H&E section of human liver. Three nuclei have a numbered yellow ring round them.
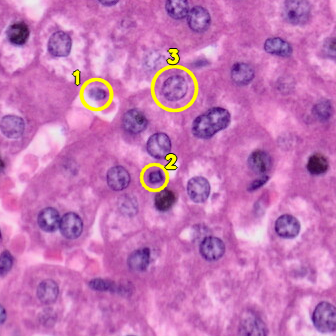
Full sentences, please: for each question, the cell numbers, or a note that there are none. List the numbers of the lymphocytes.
Mind that only cell 1 is a lymphocyte, none of the rest.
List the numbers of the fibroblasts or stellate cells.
Exactly one of the numbered cells is a fibroblast or stellate cell, namely cell 2.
